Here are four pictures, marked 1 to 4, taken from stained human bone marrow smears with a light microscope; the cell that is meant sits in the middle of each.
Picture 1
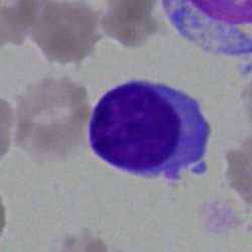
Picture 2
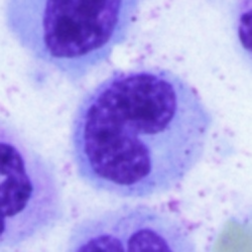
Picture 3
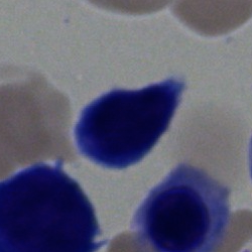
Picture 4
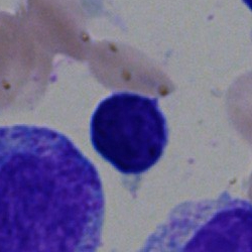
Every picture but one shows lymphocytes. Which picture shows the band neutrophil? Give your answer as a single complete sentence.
Picture 2 shows the band neutrophil.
